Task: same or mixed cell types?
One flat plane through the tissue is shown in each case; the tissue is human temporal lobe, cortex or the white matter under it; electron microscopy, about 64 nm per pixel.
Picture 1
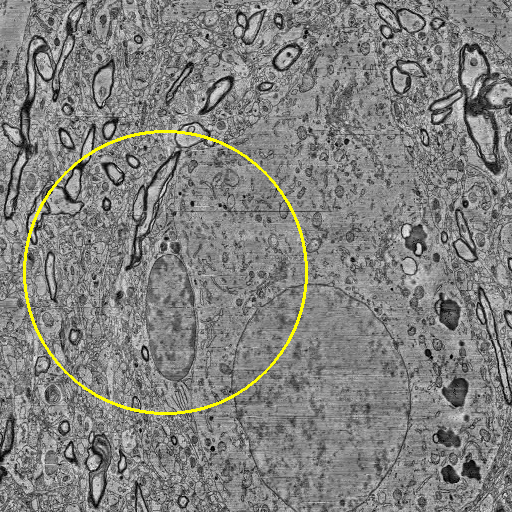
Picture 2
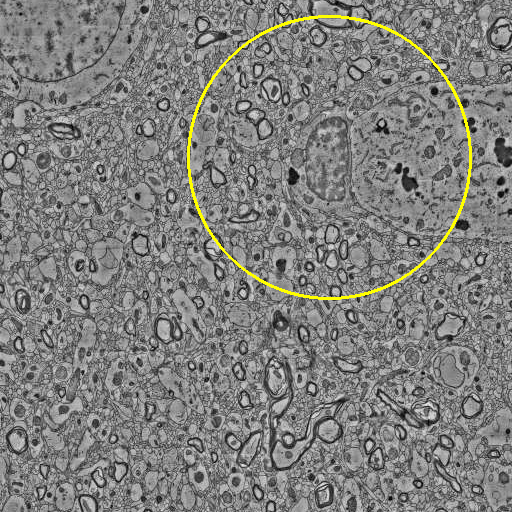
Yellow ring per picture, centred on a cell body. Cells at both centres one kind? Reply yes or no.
no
